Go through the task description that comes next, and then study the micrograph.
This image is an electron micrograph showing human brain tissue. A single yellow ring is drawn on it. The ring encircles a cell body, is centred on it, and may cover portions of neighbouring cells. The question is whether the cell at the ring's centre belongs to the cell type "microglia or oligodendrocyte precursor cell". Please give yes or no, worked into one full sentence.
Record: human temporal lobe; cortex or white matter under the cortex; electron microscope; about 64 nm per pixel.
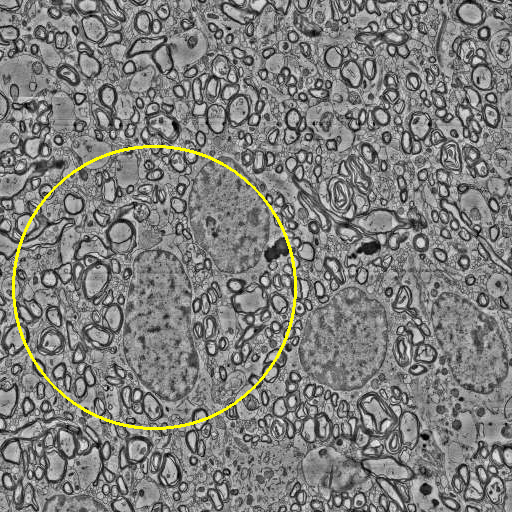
Yes, the cell that the ring is centred on in the micrograph is of this kind.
